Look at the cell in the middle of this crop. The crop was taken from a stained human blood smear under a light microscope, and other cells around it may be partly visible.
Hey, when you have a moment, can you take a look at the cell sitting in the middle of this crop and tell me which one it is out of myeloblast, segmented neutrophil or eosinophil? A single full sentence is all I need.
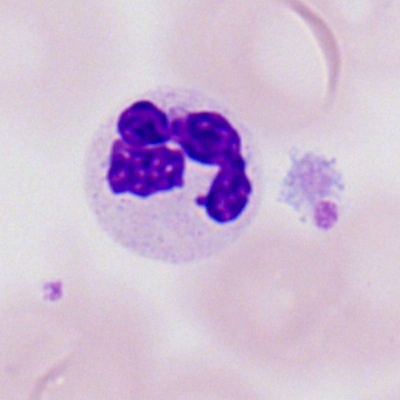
In short, the cell at the center is a segmented neutrophil.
